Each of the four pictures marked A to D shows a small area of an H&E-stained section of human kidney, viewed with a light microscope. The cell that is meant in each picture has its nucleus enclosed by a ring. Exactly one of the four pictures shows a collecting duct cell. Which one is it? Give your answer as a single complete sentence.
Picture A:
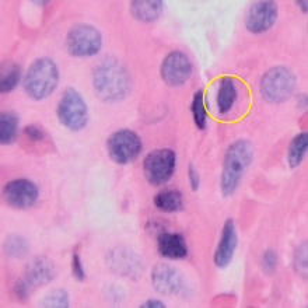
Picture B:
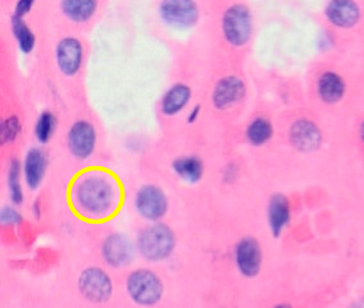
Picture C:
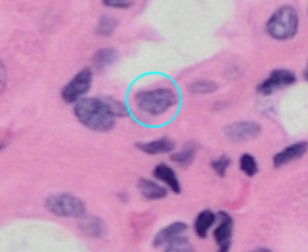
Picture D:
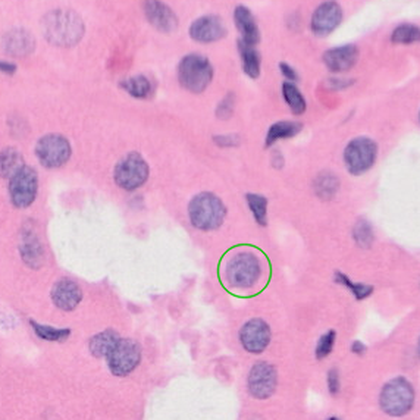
Picture C shows the collecting duct cell.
